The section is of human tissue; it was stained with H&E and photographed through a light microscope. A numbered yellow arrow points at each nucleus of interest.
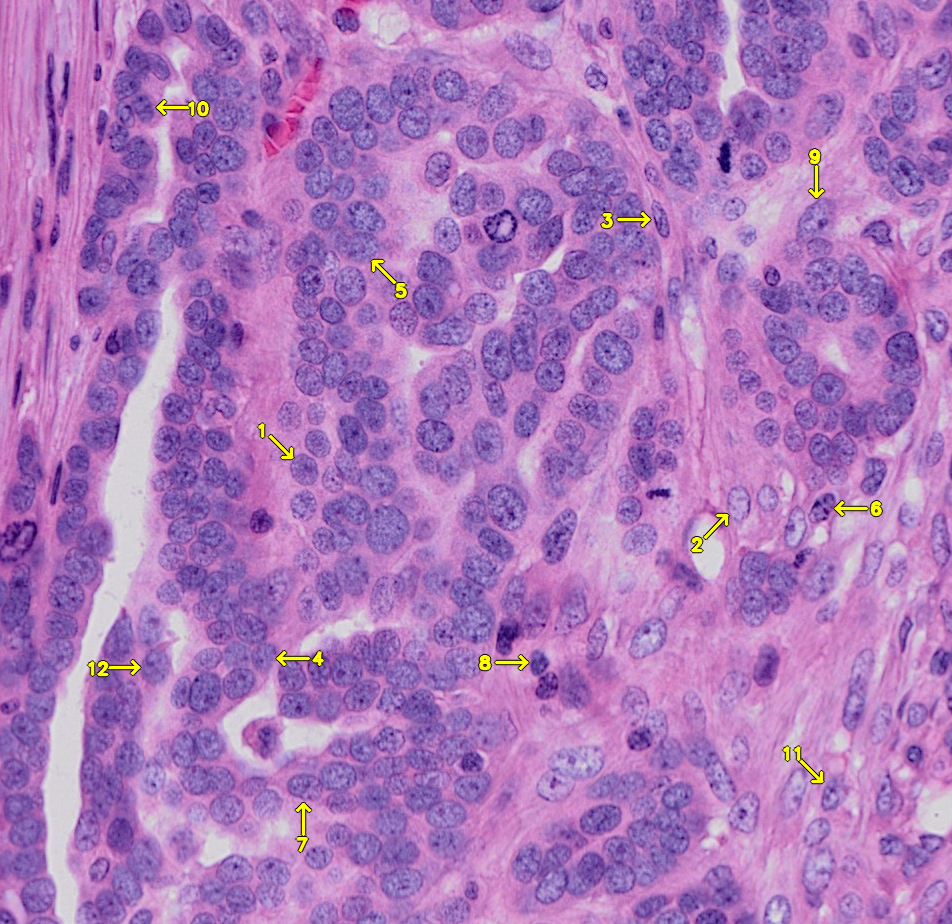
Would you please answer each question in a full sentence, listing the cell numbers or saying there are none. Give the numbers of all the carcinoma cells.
As for the cells numbered 1, 4, 5, 7, 10 and 12, they are carcinoma cells.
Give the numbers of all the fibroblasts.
By cell type, the cells numbered 2, 9 and 11 are fibroblasts.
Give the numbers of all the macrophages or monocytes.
The cells referred to by numbers 3 and 6 are macrophages or monocytes.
